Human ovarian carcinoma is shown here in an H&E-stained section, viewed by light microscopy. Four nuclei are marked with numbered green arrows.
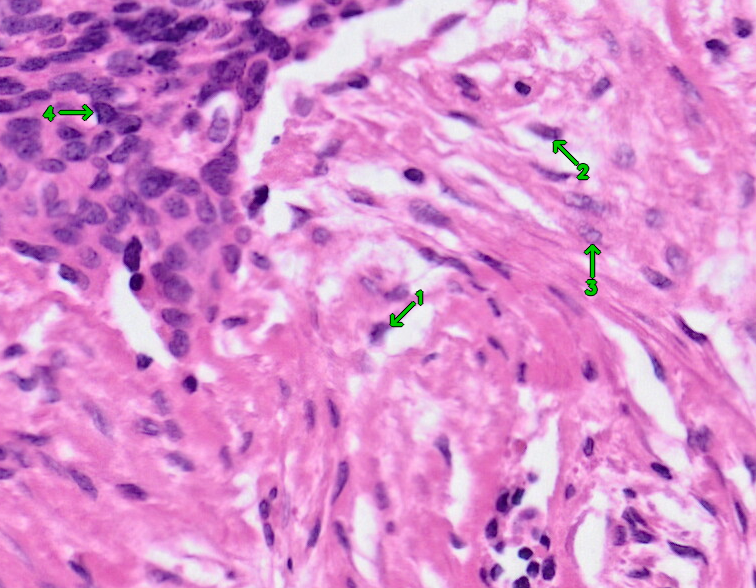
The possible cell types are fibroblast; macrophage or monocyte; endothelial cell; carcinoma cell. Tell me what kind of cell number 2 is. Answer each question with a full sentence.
It is as a fibroblast that the cell numbered 2 is identified.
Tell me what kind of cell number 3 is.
The expected answer is that cell 3 is a fibroblast.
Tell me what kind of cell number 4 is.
As for number 4, that cell is a carcinoma cell.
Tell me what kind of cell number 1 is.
The marked nucleus 1 is that of a fibroblast.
